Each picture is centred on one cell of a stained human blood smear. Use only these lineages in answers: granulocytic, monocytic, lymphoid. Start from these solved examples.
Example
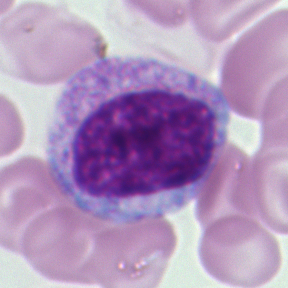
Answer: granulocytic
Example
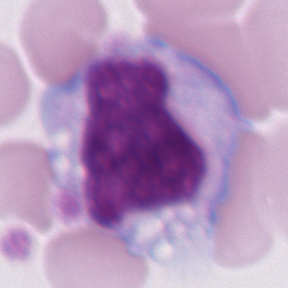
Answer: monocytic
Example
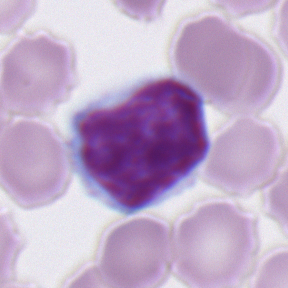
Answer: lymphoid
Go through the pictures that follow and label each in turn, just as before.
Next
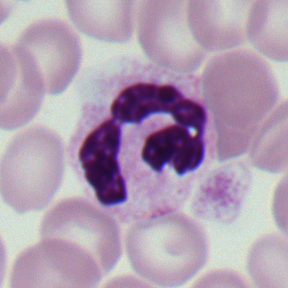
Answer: granulocytic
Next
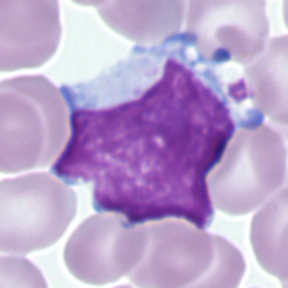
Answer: monocytic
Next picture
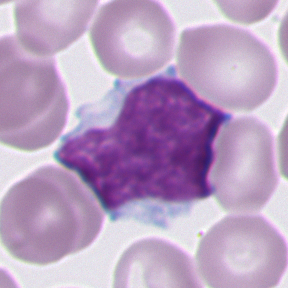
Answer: lymphoid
